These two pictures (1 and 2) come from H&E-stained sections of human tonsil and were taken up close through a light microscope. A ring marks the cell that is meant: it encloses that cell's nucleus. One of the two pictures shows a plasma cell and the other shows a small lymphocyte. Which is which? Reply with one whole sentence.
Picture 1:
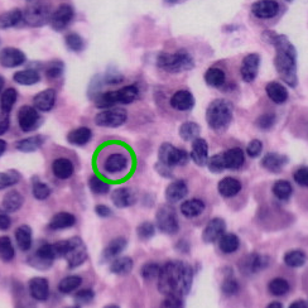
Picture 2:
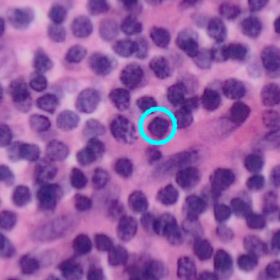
Picture 1 shows a plasma cell and picture 2 shows a small lymphocyte.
